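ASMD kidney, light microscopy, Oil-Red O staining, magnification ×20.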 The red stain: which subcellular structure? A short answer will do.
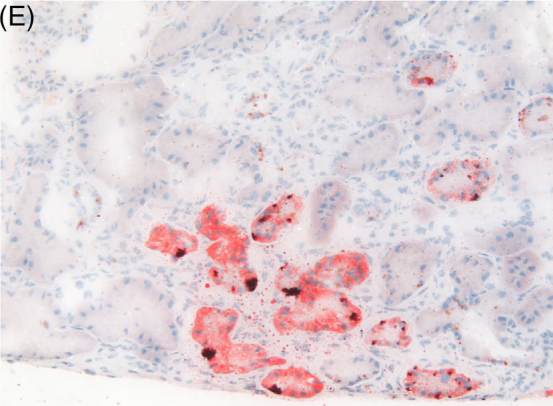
Neutral lipids.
